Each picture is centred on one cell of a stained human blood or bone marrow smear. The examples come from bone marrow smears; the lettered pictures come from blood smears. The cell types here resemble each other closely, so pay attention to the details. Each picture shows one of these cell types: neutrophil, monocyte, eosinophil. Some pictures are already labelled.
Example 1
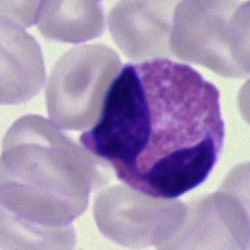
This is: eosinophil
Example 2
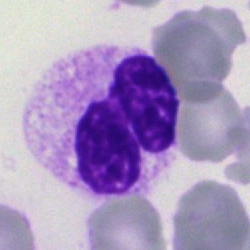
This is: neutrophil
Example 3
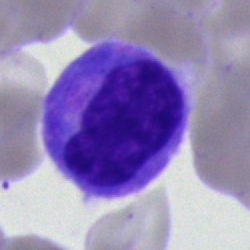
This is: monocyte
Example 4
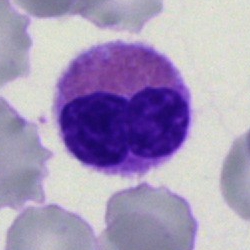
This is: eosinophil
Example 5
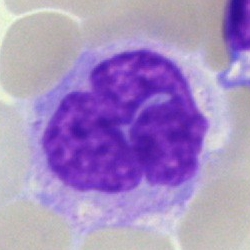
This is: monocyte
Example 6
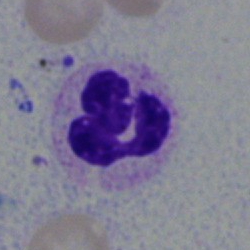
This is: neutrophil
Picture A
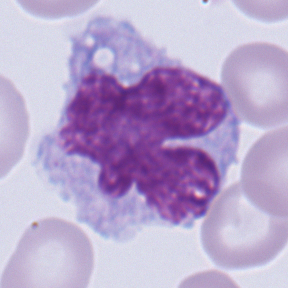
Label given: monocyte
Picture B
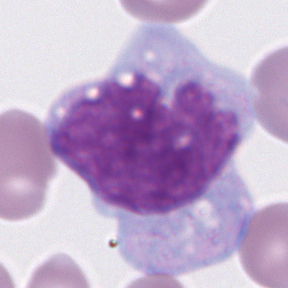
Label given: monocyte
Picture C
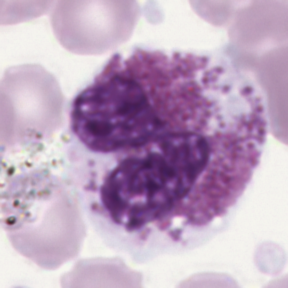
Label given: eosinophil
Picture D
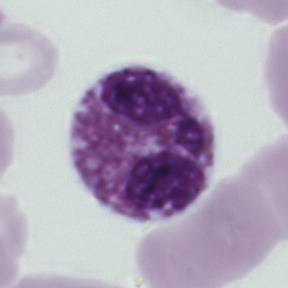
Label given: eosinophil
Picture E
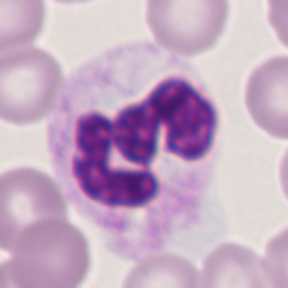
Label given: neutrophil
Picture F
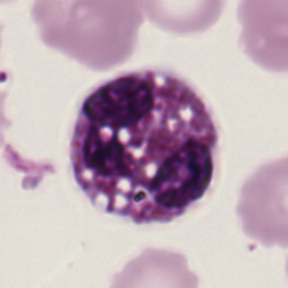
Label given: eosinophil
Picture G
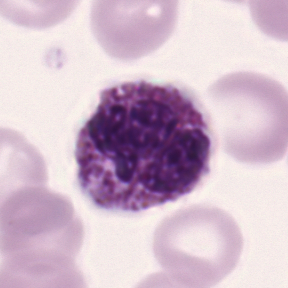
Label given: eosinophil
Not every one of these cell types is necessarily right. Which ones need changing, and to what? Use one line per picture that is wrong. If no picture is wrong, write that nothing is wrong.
No label is wrong.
